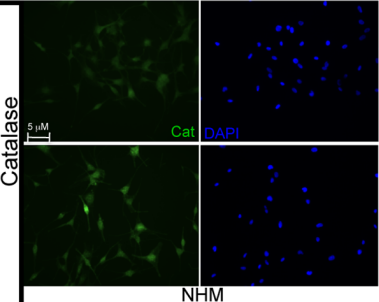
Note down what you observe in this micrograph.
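Cultured melanocytes are shown as paired images, the left in green and the right in blue. The green images show scattered cells with small cell bodies and slender bipolar or multipolar processes, the green filling the cytoplasm of the cell body and extending into the processes. The blue images show small oval nuclei dispersed across the field at low density, without clustering into sheets.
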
